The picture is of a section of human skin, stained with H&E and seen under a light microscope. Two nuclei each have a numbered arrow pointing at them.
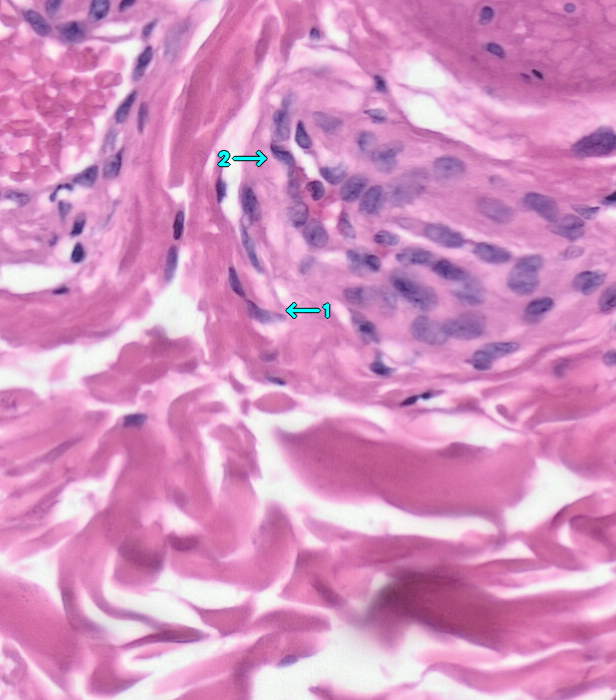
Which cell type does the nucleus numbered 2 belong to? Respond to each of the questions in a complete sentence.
In this section, the cell numbered 2 is an endothelial cell.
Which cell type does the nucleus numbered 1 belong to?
Marked with the number 1, this cell is a fibroblast.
